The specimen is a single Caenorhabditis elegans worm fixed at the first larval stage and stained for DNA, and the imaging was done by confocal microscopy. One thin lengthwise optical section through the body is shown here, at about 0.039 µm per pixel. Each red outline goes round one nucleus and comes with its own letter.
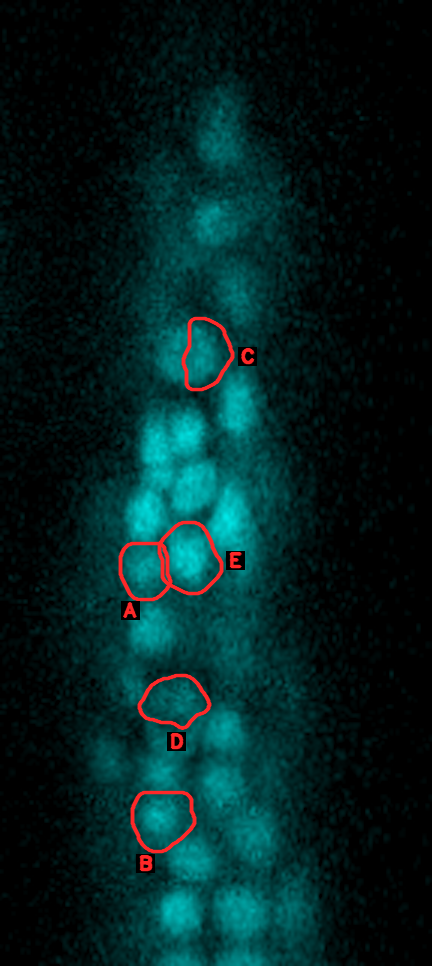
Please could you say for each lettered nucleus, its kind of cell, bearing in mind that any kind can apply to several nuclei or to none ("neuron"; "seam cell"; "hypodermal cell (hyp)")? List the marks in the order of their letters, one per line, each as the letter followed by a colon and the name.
A: neuron
B: neuron
C: seam cell
D: seam cell
E: neuron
